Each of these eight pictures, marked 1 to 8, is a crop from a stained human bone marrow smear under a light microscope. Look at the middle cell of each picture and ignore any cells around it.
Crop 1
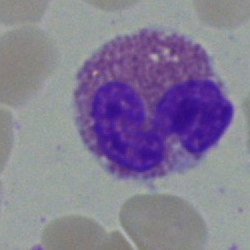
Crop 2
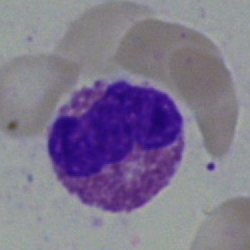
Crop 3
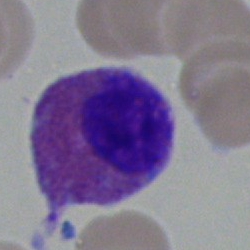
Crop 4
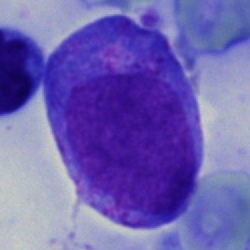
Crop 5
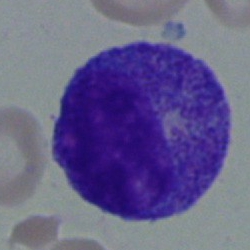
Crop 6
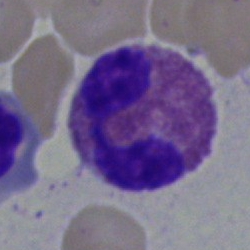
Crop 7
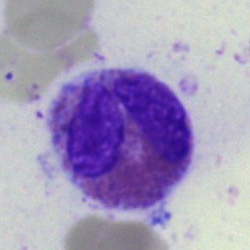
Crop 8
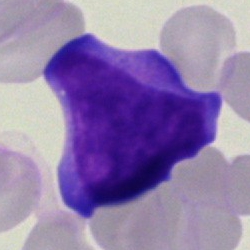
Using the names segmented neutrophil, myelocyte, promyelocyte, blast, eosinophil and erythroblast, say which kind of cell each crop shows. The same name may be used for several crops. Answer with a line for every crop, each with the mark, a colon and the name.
1: eosinophil
2: eosinophil
3: eosinophil
4: promyelocyte
5: promyelocyte
6: eosinophil
7: eosinophil
8: blast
